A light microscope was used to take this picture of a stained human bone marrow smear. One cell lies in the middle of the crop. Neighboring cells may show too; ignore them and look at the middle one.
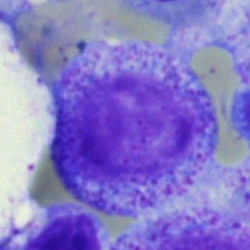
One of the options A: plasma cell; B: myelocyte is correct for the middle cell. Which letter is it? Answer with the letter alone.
B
